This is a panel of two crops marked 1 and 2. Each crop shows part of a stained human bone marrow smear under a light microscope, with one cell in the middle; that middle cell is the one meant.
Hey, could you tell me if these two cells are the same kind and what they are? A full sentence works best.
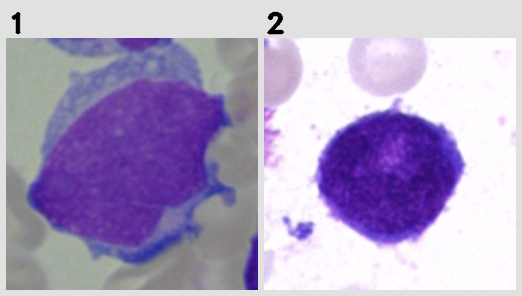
Yes, the cells at the centre of the two crops are both blasts.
